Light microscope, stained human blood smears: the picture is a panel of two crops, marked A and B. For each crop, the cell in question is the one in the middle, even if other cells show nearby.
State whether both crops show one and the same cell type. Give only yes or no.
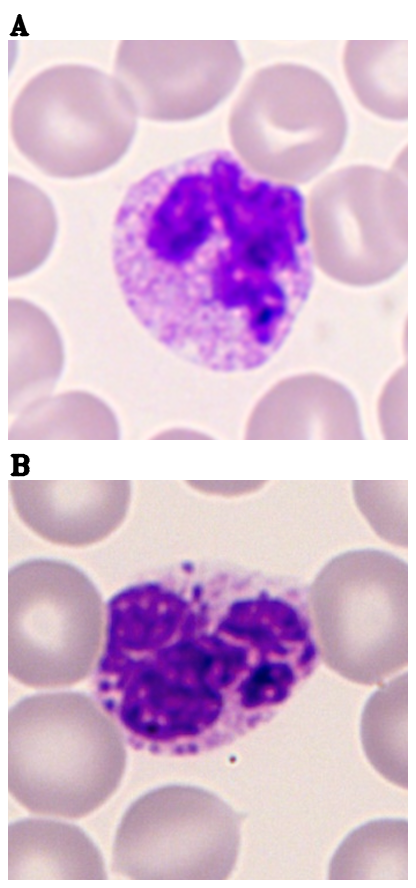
yes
